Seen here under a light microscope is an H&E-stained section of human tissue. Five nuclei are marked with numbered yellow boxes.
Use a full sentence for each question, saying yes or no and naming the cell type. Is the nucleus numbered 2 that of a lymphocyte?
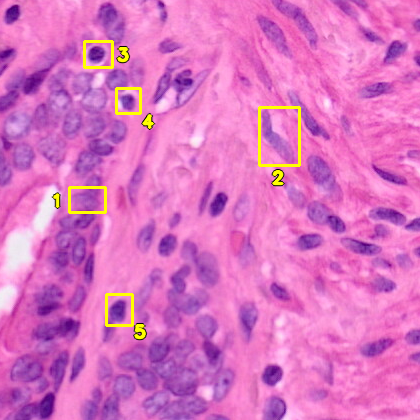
No, cell 2 is to be read as a smooth muscle cell or pericyte, not a lymphocyte.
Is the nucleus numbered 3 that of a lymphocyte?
Yes, kindly take note: the cell numbered 3 is a lymphocyte.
